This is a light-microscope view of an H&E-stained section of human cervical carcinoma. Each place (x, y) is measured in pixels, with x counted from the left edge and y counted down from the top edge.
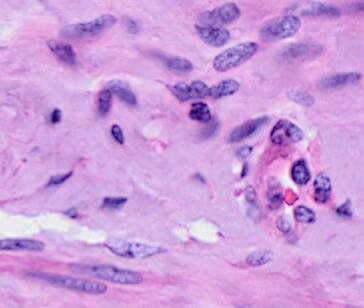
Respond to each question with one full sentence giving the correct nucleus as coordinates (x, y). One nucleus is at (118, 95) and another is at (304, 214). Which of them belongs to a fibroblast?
The nucleus at position (118, 95) belongs to a fibroblast.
